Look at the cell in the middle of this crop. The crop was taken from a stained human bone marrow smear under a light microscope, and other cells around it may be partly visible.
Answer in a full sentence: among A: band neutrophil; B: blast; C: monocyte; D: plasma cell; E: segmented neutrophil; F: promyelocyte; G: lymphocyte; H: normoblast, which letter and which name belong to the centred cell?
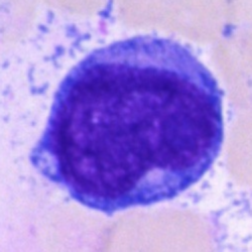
Seen at the centre of the crop is a blast, so option B is correct.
